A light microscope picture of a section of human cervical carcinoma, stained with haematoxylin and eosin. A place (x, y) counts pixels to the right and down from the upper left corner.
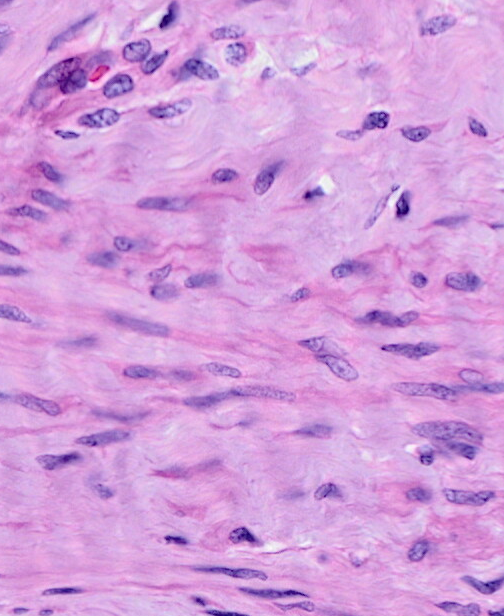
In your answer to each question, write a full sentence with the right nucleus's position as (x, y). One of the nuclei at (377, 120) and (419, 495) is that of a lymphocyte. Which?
Identified as belonging to a lymphocyte is the nucleus at (377, 120).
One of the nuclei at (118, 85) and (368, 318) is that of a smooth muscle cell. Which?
Which one belongs to a smooth muscle cell? The nucleus at (368, 318) does.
